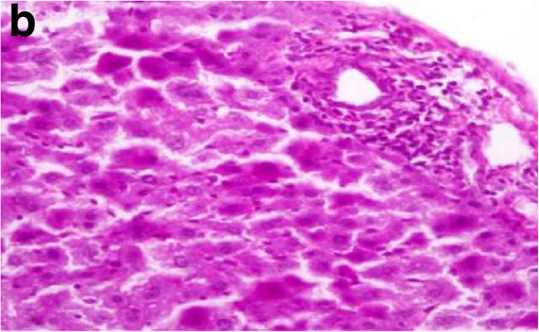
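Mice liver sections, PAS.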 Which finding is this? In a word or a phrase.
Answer: Lymphocytic infiltrate.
